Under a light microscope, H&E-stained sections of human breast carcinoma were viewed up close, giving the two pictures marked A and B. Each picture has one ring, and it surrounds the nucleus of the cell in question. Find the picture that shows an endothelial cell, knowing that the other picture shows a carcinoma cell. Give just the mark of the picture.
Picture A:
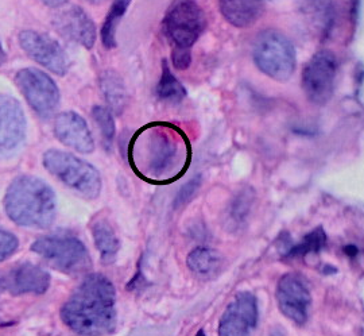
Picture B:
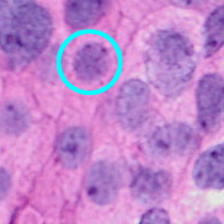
A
